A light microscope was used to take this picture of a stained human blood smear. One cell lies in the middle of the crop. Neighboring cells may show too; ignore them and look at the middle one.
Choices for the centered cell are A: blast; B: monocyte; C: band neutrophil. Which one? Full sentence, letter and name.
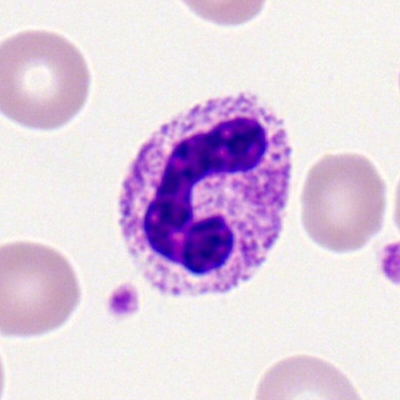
As the central cell is a band neutrophil, option C is correct.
